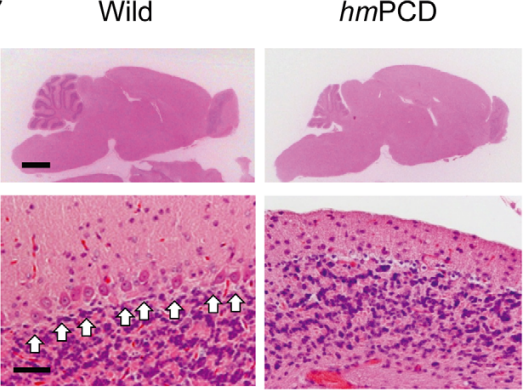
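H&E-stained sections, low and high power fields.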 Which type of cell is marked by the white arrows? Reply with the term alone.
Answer: Purkinje cells.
